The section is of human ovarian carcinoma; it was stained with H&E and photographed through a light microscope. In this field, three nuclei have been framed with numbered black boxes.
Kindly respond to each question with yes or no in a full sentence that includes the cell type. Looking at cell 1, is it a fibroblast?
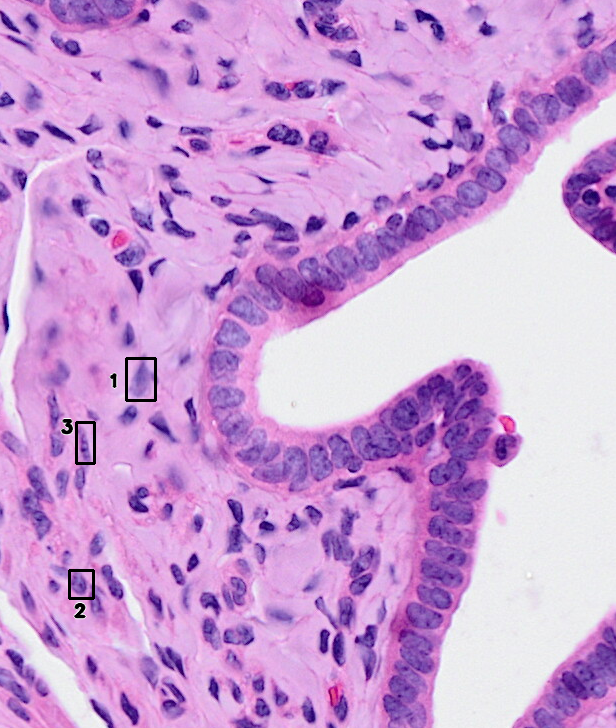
Yes, that is so; number 1 marks a fibroblast.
